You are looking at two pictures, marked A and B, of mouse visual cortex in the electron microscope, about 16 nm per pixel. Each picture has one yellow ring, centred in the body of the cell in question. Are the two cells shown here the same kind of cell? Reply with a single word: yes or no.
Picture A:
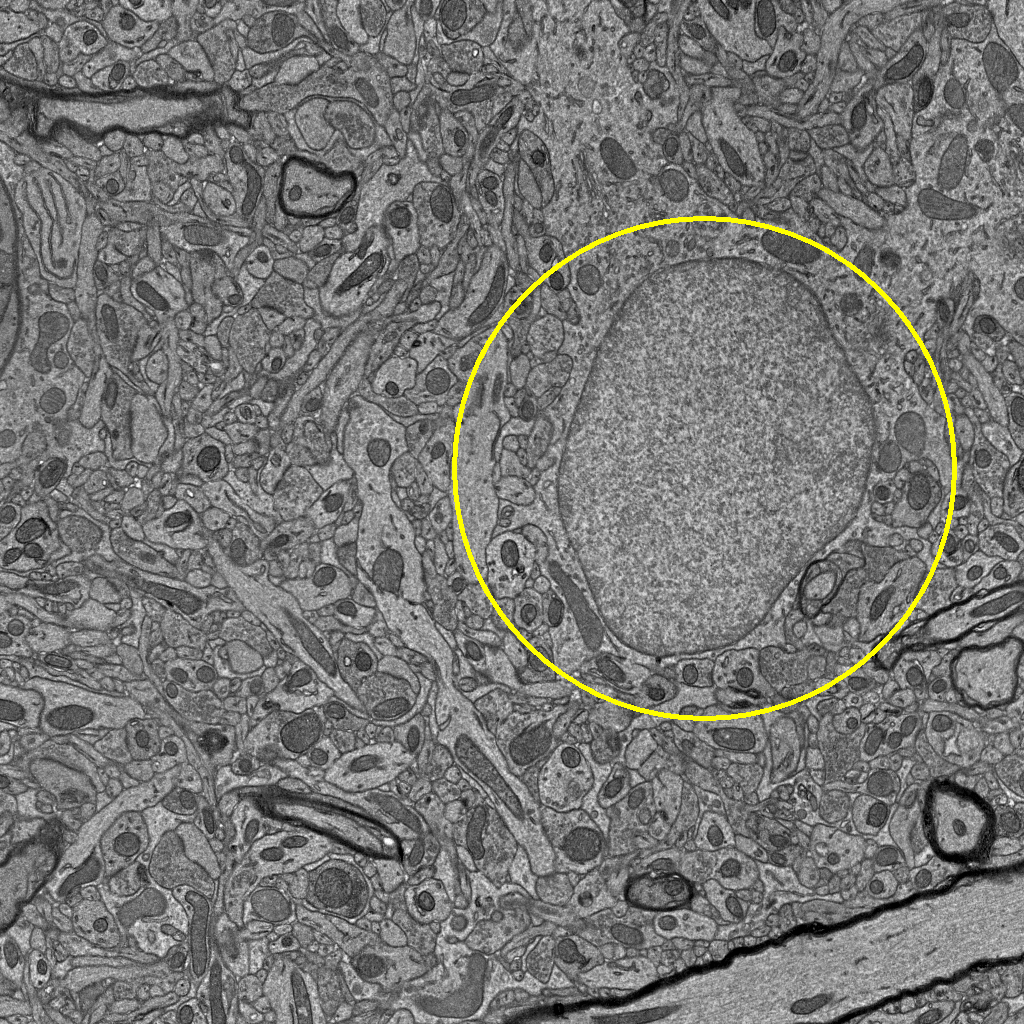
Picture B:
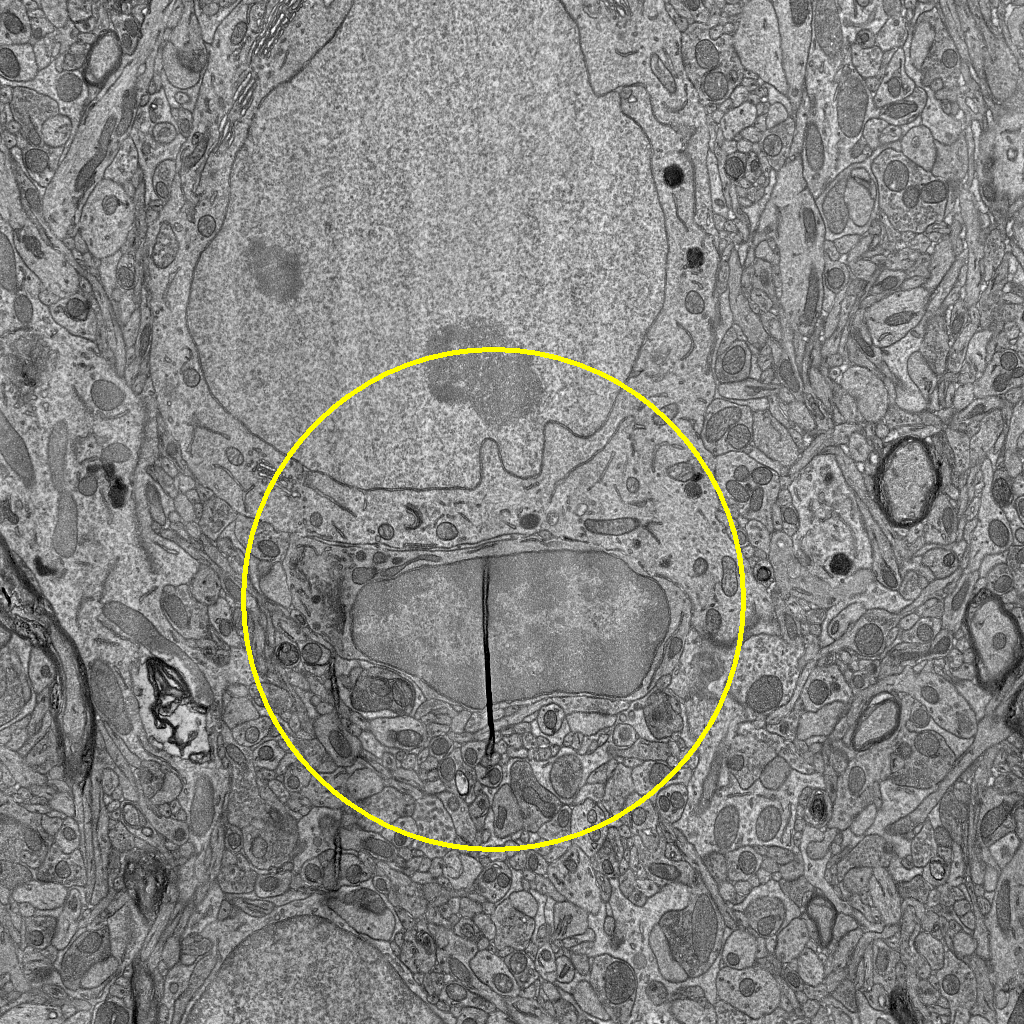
no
